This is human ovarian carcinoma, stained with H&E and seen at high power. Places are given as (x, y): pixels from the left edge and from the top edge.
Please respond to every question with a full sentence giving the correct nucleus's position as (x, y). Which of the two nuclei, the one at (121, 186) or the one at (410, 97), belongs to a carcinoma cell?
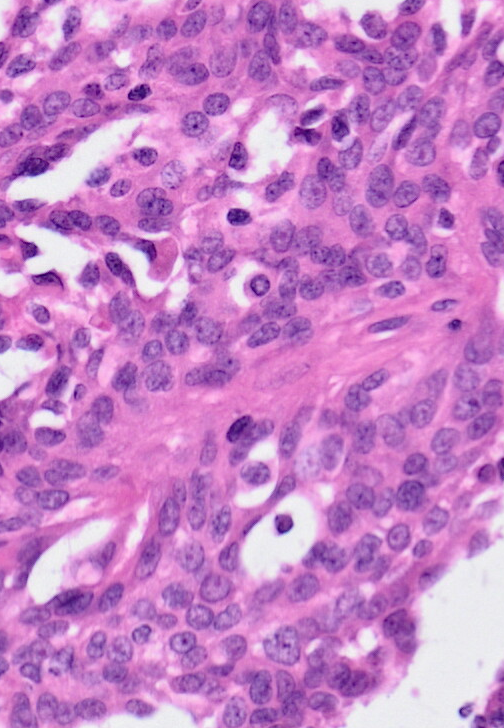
The nucleus lying at (410, 97) is the nucleus of a carcinoma cell.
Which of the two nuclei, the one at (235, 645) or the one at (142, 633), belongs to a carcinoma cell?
Of the two nuclei, the one at (235, 645) belongs to a carcinoma cell.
